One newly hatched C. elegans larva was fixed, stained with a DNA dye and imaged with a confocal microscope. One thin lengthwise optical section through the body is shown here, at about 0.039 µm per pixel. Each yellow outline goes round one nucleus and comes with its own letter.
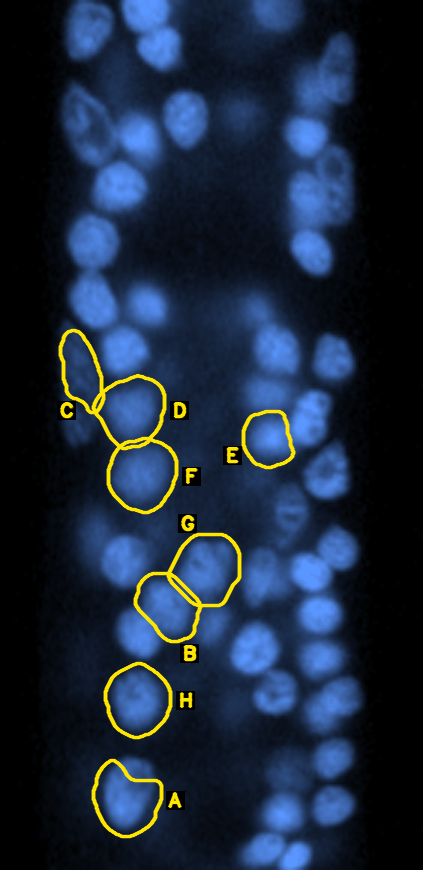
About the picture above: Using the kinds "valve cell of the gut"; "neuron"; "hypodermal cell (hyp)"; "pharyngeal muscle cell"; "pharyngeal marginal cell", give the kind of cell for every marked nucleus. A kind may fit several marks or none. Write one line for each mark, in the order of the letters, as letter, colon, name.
A: pharyngeal muscle cell
B: pharyngeal muscle cell
C: hypodermal cell (hyp)
D: neuron
E: neuron
F: neuron
G: pharyngeal marginal cell
H: pharyngeal muscle cell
